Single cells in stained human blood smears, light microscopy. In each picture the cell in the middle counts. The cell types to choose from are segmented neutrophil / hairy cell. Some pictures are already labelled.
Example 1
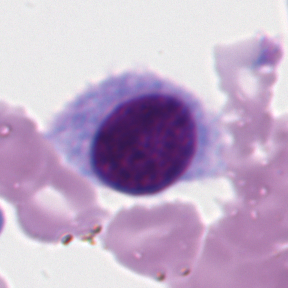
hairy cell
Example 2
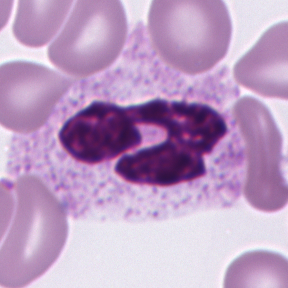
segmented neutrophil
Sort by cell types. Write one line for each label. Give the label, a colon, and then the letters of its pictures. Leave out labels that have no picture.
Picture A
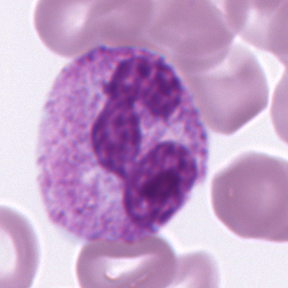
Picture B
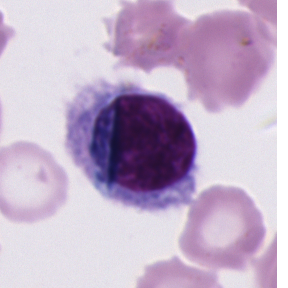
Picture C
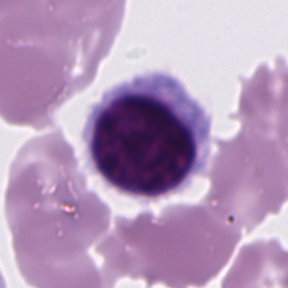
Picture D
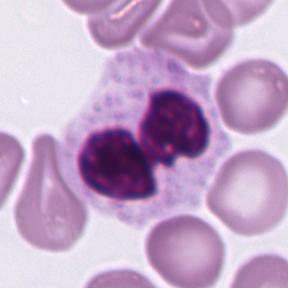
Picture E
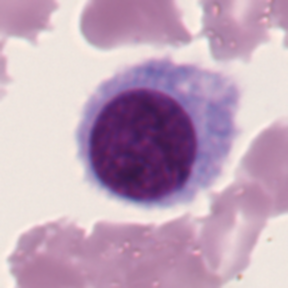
segmented neutrophil: A, D
hairy cell: B, C, E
